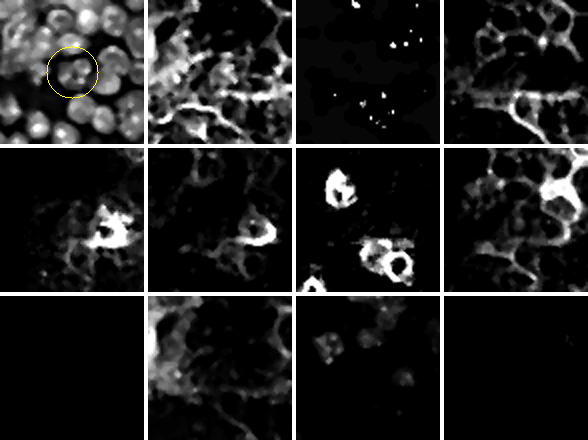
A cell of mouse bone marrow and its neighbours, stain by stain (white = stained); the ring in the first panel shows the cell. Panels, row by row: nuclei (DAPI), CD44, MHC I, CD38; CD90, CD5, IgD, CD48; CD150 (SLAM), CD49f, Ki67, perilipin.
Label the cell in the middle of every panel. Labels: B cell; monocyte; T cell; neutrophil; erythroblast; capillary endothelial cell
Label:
neutrophil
